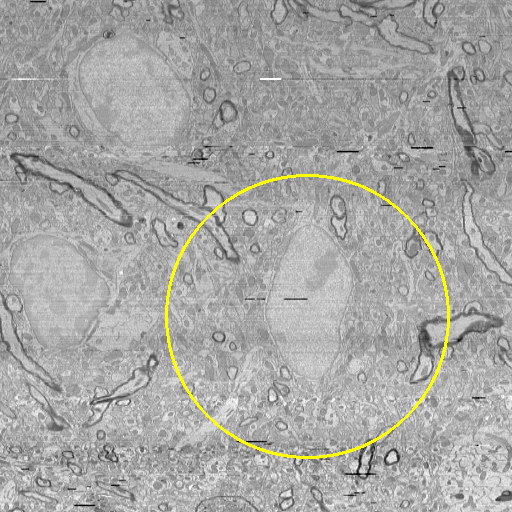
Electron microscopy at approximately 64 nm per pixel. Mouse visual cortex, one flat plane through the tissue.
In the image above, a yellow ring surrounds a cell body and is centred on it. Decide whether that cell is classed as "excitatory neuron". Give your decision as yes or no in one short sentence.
No, it belongs to another kind of cell.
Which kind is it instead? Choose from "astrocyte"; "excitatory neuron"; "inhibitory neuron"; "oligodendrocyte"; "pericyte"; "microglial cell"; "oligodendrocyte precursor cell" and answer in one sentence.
Instead, the picture shows an astrocyte at the centre of the ring.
